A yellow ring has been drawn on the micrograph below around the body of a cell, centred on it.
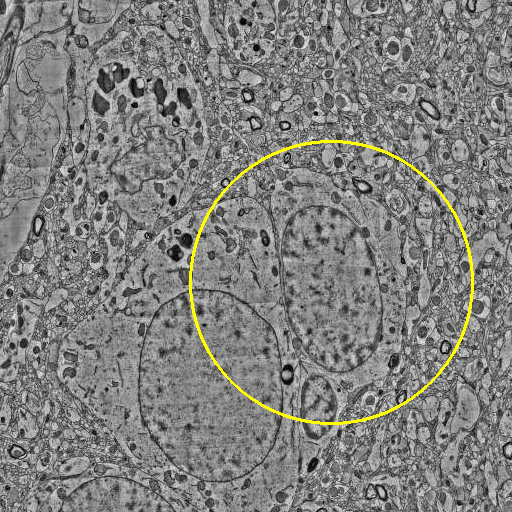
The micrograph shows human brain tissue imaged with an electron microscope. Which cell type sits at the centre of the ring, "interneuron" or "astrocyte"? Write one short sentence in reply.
The cell sitting at the centre of the ring is an interneuron.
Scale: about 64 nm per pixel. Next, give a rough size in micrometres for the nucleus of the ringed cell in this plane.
In this plane the nucleus measures about 11 by 7 micrometres and is clearly longer than it is wide.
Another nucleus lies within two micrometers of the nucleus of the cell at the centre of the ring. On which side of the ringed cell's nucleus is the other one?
The other one lies to the lower left of it.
